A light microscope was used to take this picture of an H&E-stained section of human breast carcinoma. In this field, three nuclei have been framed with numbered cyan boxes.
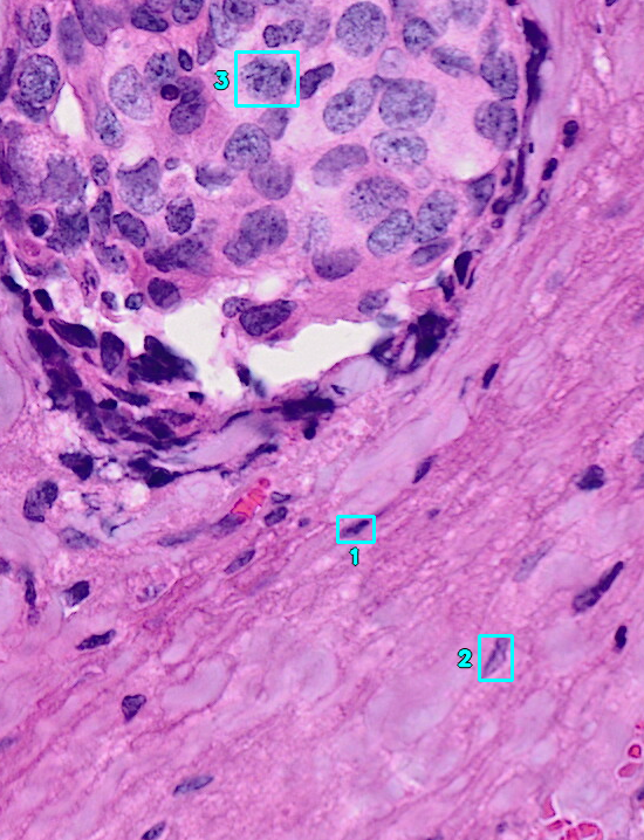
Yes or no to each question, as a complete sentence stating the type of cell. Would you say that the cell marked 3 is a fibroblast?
No, cell 3 should be classed as a carcinoma cell, not as a fibroblast.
